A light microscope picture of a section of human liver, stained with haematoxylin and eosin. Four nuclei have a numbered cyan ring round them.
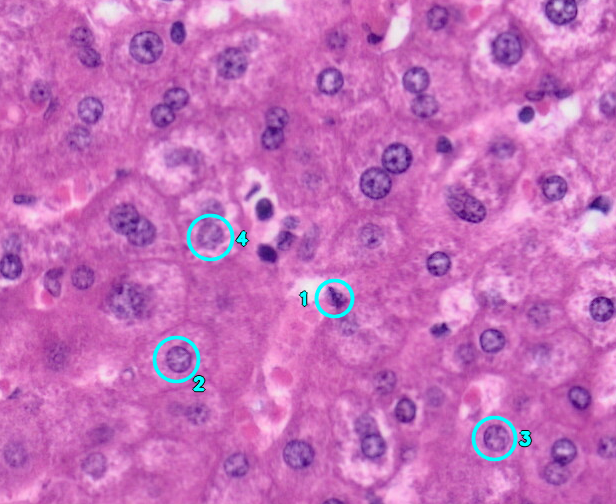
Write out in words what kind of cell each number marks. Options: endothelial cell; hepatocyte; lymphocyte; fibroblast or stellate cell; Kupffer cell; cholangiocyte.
Cell 1 is an endothelial cell, cell 2 is a hepatocyte, cell 3 is a hepatocyte and cell 4 is a hepatocyte.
